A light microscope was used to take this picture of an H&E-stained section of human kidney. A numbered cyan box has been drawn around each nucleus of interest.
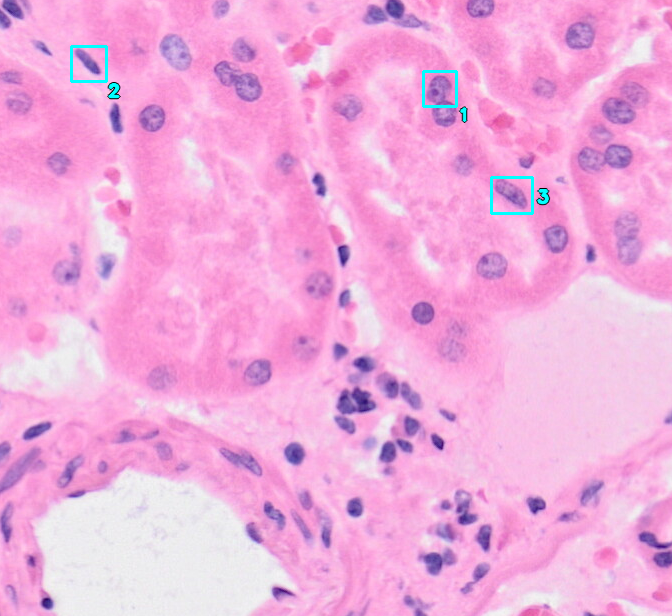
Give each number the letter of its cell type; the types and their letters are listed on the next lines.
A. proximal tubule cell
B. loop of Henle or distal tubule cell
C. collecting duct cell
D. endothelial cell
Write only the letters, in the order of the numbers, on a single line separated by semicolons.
A; D; A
